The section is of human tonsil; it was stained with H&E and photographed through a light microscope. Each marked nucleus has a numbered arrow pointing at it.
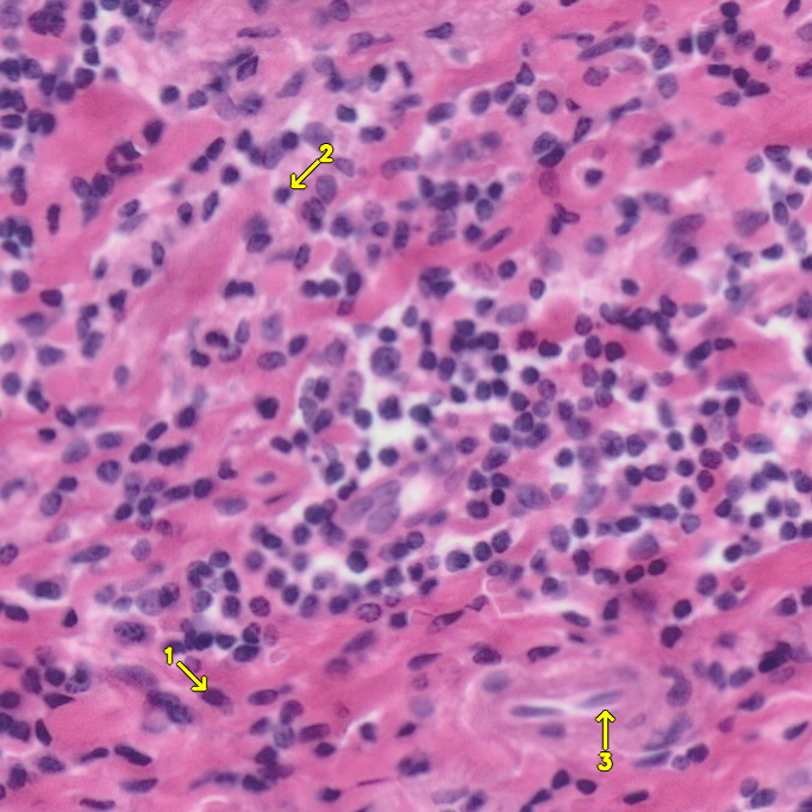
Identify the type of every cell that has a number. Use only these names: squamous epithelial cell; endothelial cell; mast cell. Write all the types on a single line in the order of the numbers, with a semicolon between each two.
mast cell; mast cell; endothelial cell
